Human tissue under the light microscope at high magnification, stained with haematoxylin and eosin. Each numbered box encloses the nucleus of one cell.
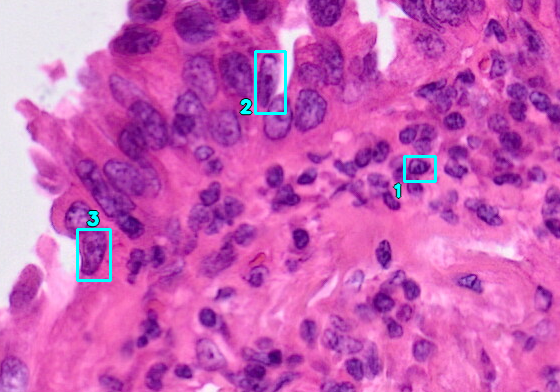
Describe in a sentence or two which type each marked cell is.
Cell 1 is a lymphocyte, cell 2 is a carcinoma cell and cell 3 is a carcinoma cell.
